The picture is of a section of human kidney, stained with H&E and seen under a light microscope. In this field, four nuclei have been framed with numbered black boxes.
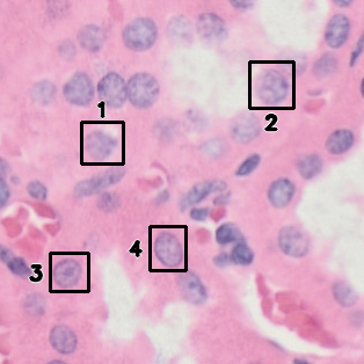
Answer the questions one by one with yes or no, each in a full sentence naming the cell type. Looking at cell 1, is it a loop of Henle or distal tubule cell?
Yes, number 1 in this section denotes a loop of Henle or distal tubule cell.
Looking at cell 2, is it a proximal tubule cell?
No, the cell that carries number 2 is a loop of Henle or distal tubule cell, not a proximal tubule cell.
